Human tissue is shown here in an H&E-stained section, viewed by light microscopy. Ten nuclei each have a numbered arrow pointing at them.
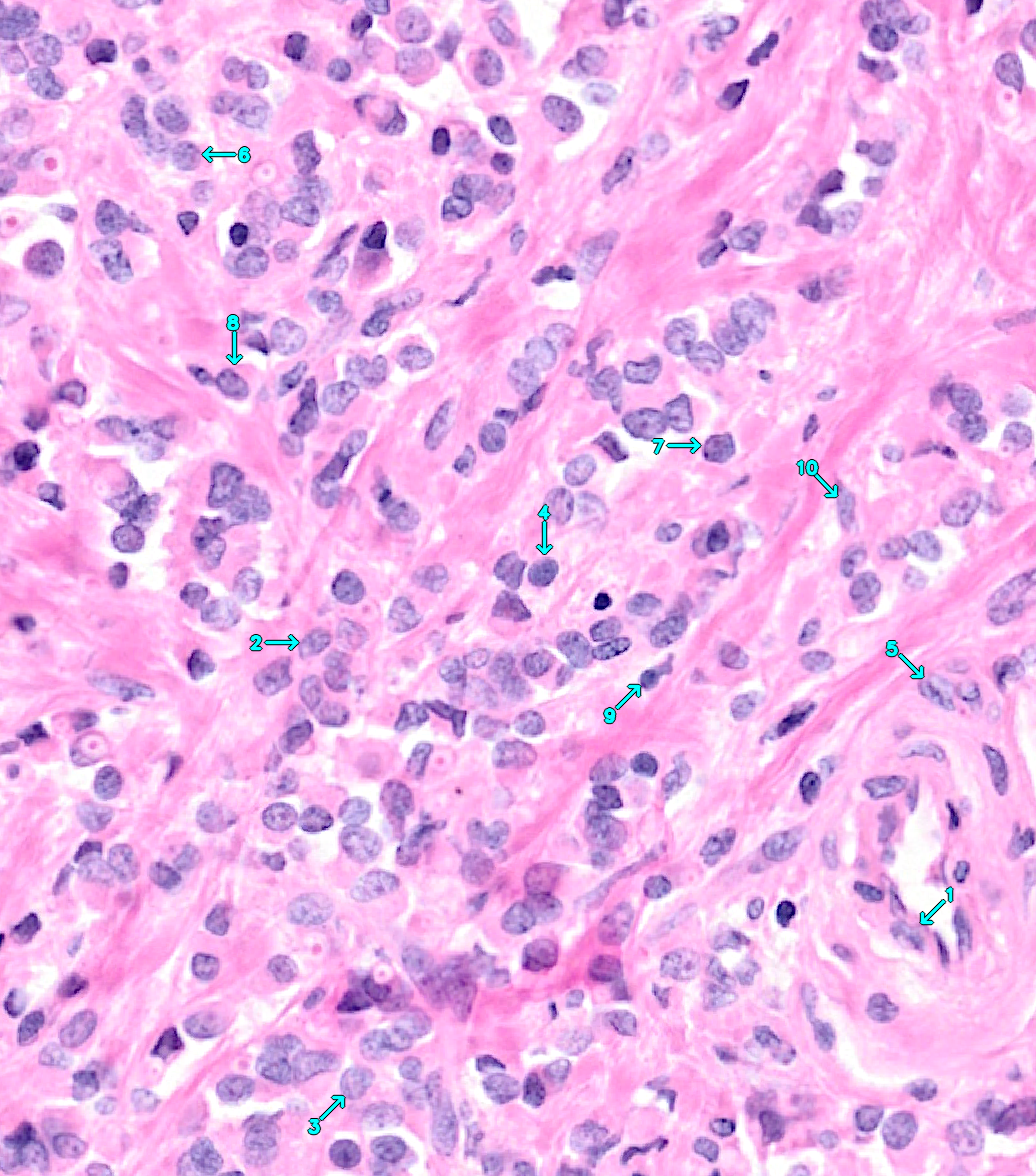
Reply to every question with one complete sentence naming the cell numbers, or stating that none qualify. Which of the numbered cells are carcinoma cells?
The cells assigned the numbers 2, 3, 4, 6, 7 and 8 are carcinoma cells.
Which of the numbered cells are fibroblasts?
Cell 10 is a fibroblast and is the only numbered cell of that kind.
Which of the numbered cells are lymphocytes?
Nothing but cell 9 is a lymphocyte among the numbered ones.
